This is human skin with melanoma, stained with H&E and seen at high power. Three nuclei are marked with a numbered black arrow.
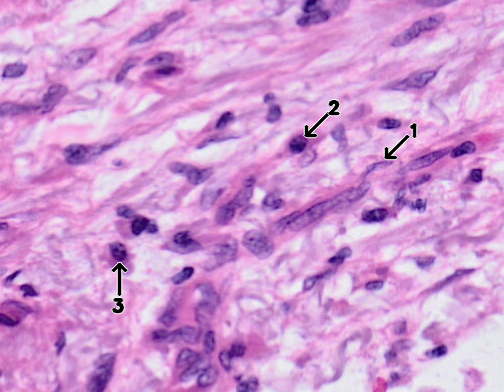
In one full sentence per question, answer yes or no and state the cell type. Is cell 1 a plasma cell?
No, cell number 1 is identified as a fibroblast or myofibroblast, not as a plasma cell.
